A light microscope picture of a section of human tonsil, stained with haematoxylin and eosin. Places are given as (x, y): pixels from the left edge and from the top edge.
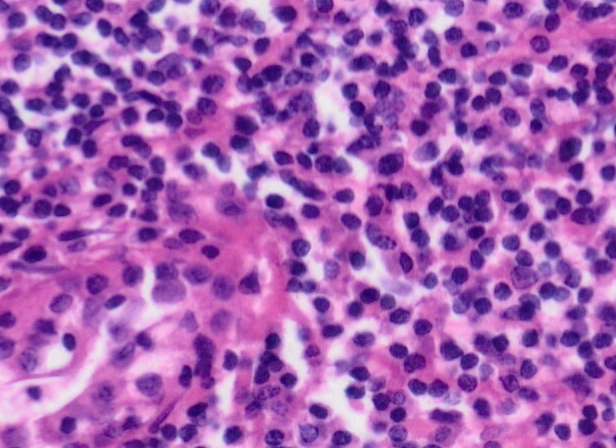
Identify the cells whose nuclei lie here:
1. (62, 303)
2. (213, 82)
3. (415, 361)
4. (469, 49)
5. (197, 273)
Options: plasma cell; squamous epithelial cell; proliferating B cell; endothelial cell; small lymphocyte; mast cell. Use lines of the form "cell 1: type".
cell 1: squamous epithelial cell
cell 2: plasma cell
cell 3: plasma cell
cell 4: plasma cell
cell 5: squamous epithelial cell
